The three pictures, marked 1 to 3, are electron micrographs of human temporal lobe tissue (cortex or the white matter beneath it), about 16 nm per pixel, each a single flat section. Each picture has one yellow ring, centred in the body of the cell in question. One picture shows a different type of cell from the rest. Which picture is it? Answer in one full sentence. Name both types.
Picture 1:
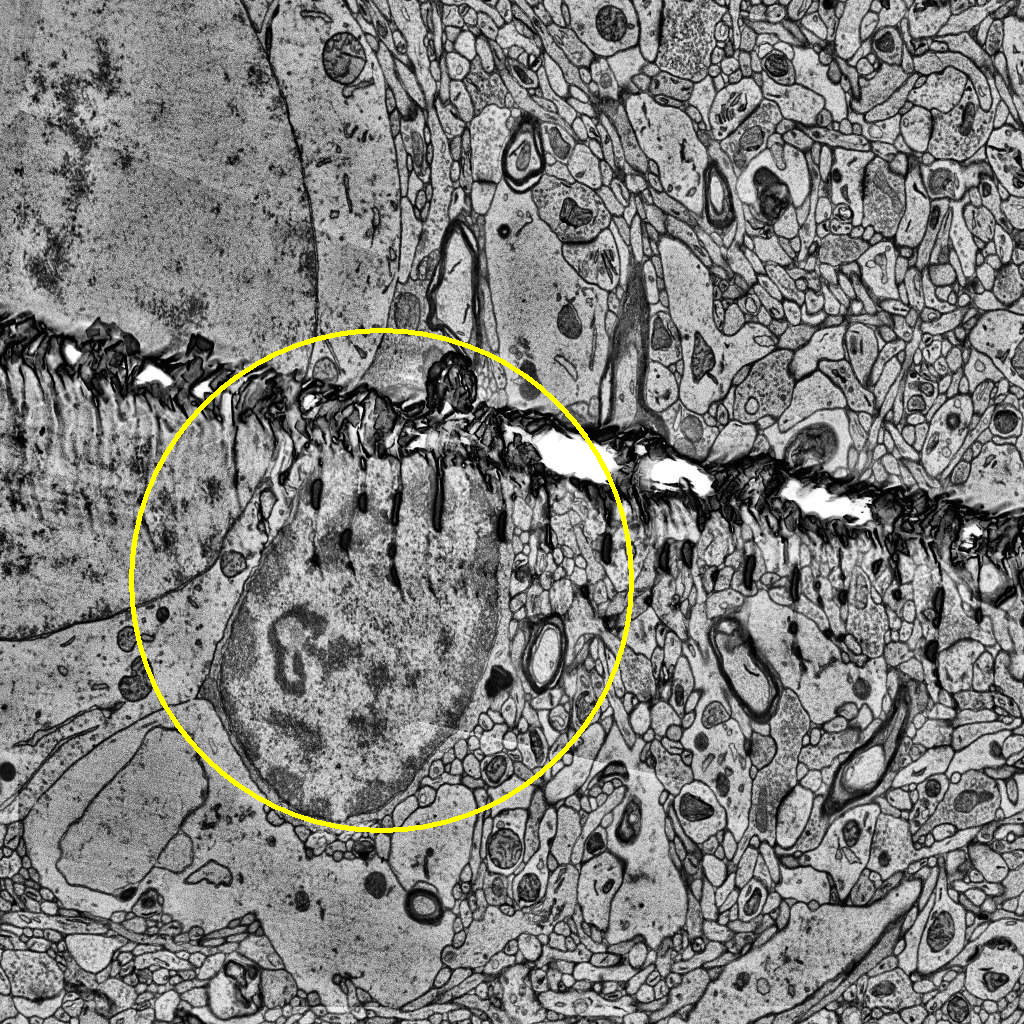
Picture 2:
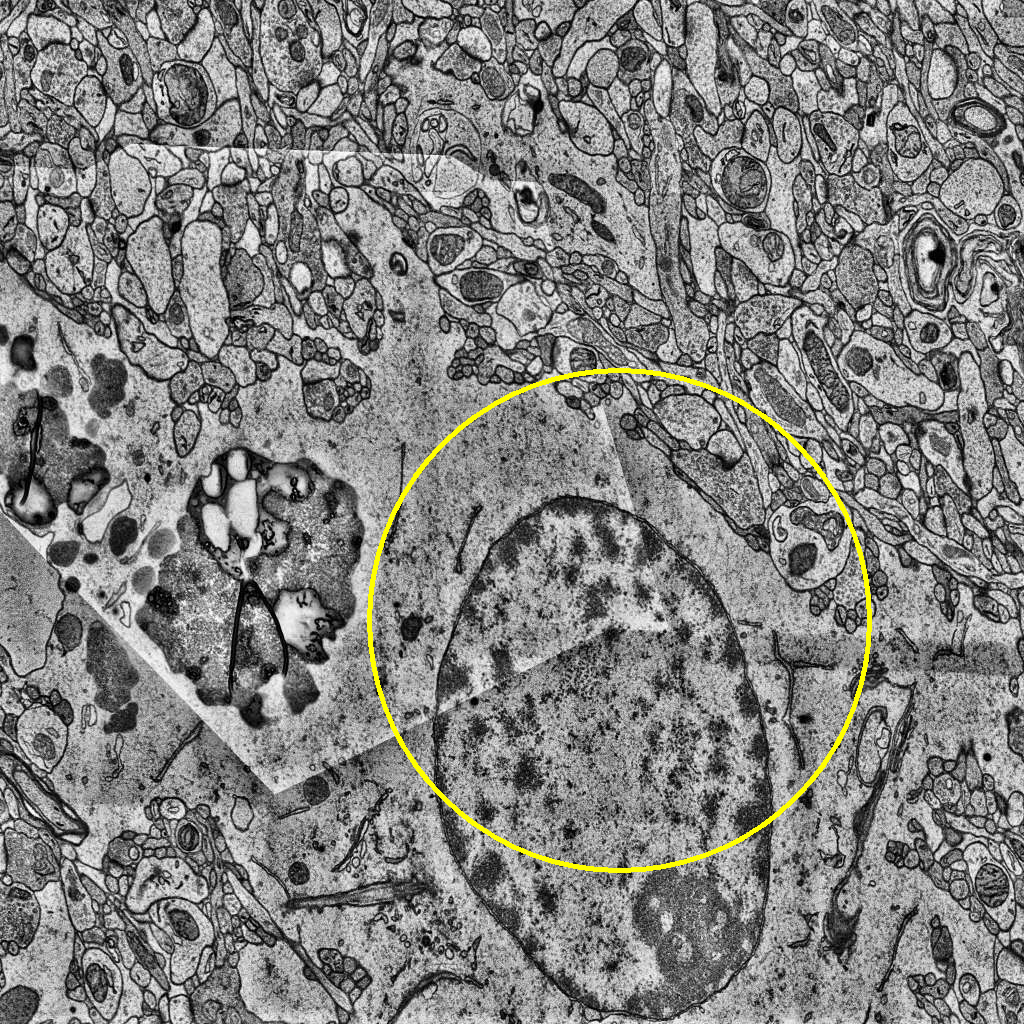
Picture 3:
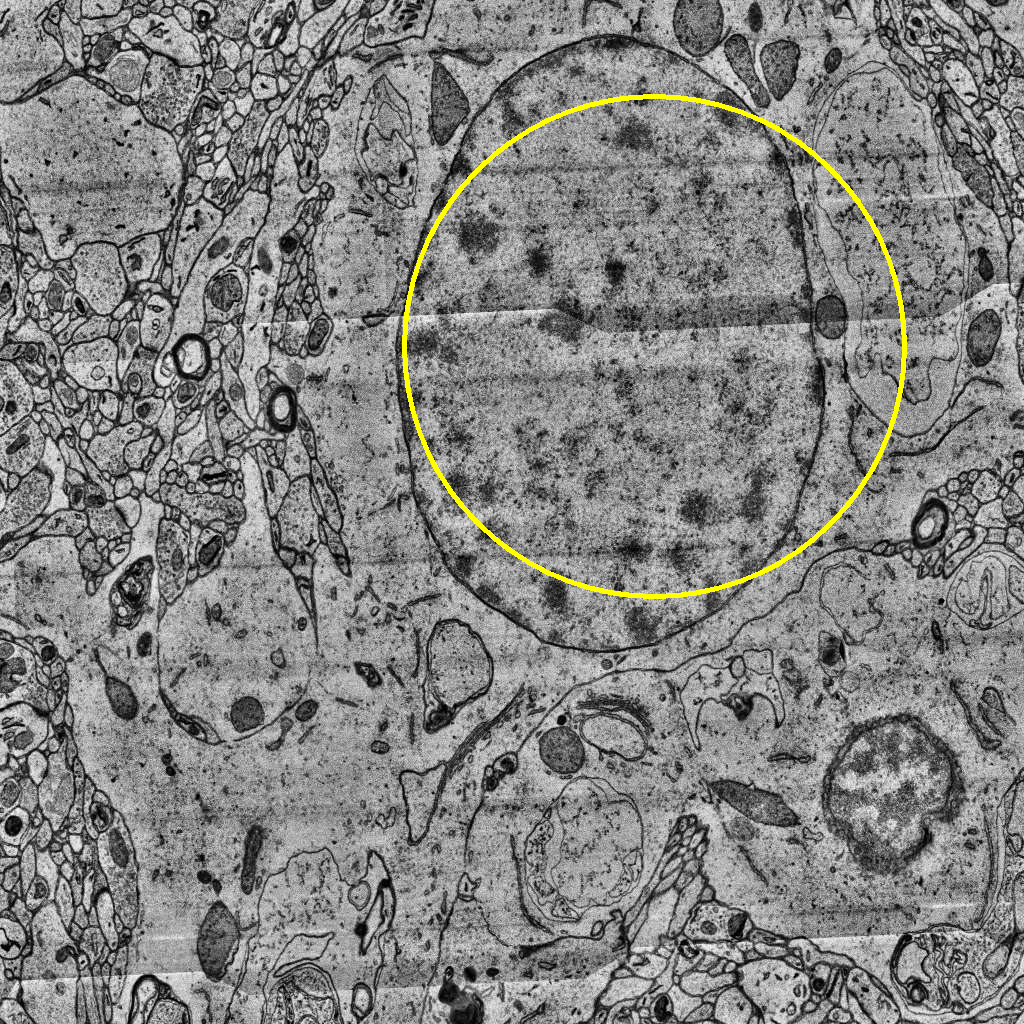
The different one is picture 1; it shows an oligodendrocyte, whereas all the others show astrocytes.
